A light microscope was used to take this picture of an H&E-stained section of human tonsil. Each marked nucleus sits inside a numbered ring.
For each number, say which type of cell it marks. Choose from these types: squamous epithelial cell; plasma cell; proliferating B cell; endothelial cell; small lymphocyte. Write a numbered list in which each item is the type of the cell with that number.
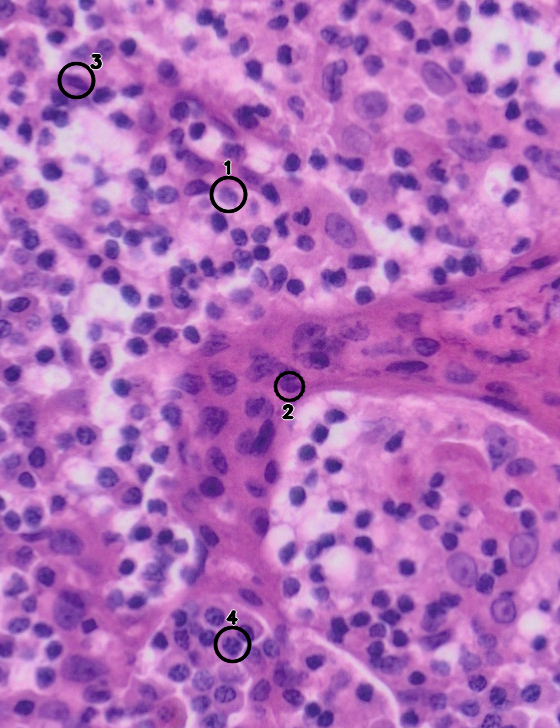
1. squamous epithelial cell
2. squamous epithelial cell
3. squamous epithelial cell
4. plasma cell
